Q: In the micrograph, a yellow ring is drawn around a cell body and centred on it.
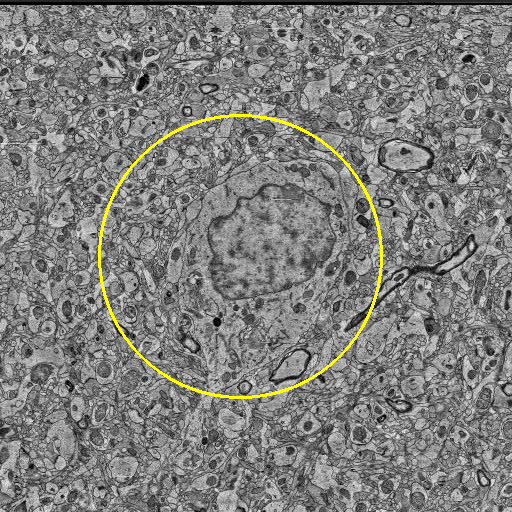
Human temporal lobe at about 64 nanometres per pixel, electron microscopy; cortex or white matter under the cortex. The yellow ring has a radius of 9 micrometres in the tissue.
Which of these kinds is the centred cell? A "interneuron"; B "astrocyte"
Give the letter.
A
